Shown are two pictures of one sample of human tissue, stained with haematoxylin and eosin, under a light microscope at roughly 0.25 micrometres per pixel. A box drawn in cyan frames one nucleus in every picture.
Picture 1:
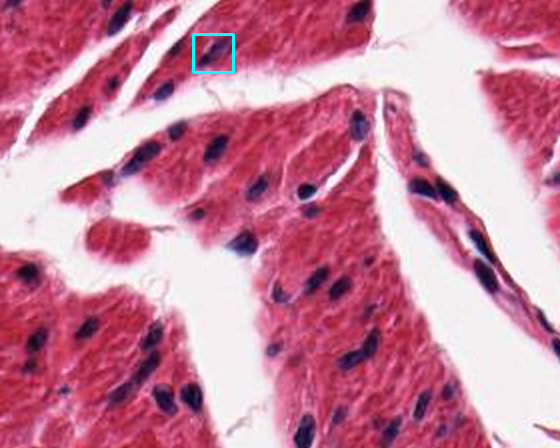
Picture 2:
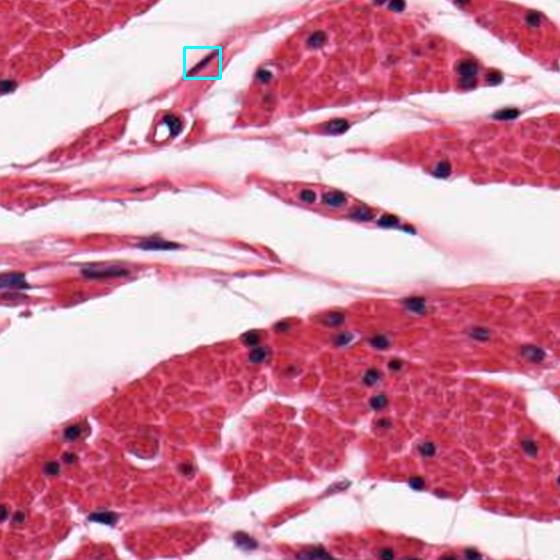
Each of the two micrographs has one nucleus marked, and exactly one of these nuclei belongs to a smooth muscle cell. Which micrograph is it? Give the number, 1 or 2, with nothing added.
1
